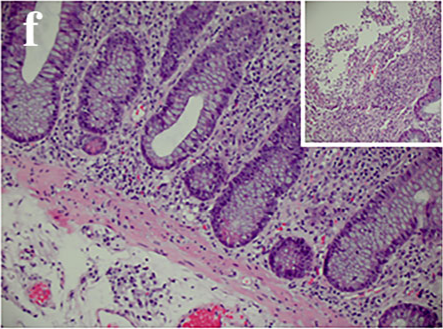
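This is colonic mucosa with elongated tubular crypts lined by columnar cells with pale mucin-filled cytoplasm and basal purple nuclei. The lamina propria between and beneath the crypts holds many inflammatory cells, and a pink band of muscle with blood vessels full of red cells lies below. In the inset at the top right, the surface has lost its epithelium and shows loose, inflamed tissue. This fits chronic active colitis with focal ulceration and granulation tissue.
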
